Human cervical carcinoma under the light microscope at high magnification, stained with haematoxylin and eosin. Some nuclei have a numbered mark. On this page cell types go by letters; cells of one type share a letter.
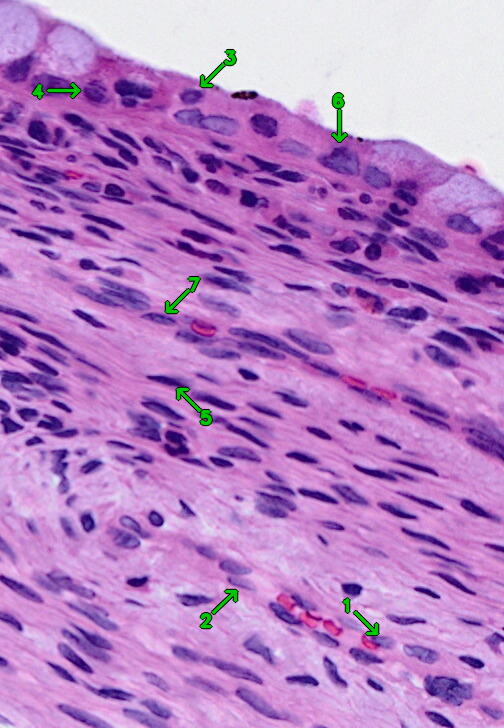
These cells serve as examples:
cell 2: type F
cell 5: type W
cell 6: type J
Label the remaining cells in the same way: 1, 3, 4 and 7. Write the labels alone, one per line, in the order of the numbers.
type F
type J
type J
type F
